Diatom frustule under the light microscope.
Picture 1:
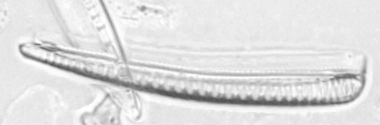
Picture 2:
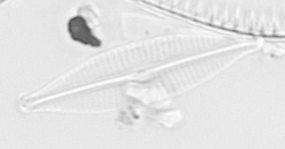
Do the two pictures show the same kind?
No: Rhoicosphenia, then Navicula.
